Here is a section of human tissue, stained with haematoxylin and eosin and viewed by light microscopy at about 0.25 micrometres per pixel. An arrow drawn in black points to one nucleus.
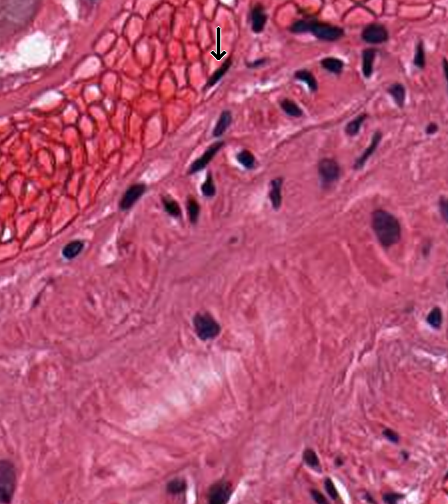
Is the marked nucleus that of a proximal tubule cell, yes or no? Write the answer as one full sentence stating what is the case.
No, the marked nucleus belongs to a supporting cell of connective tissue, a vessel or the immune system, not to a proximal tubule cell.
